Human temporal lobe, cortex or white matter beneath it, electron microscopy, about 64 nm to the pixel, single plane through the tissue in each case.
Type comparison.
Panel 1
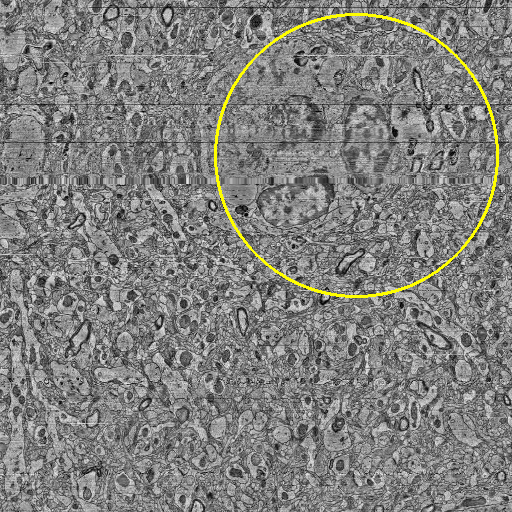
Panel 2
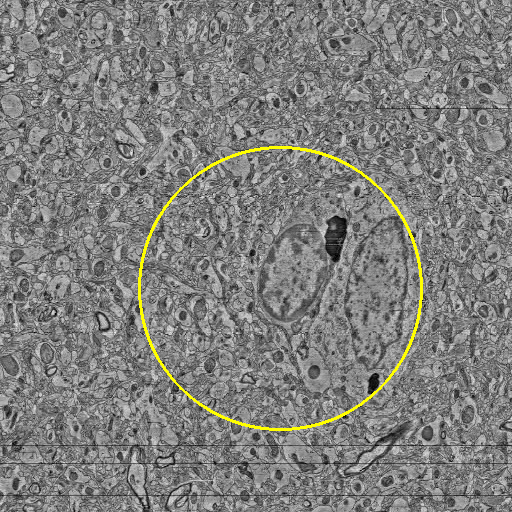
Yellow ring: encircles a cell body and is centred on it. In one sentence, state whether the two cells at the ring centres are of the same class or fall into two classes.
In these panels, the two cells at the ring centres are of the same class.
